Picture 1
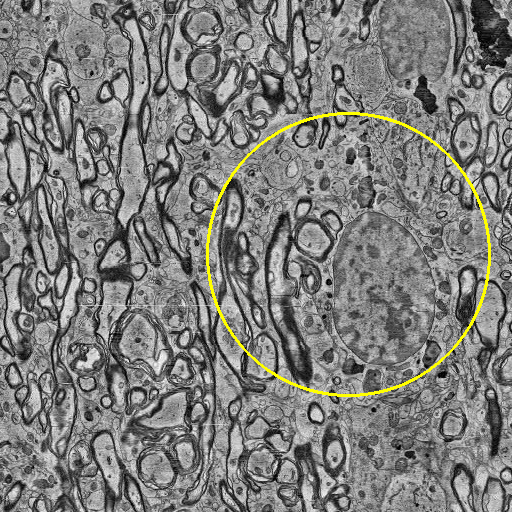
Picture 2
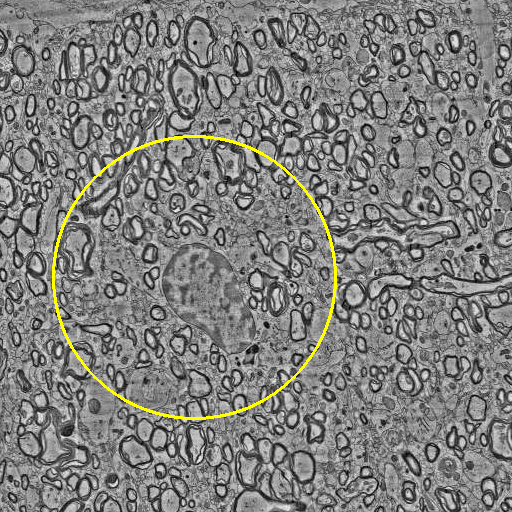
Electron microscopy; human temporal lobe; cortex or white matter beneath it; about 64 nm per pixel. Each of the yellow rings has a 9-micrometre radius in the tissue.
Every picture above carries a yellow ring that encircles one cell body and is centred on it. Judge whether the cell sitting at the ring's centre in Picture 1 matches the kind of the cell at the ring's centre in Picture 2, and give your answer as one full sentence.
Yes, the cells centred in the rings of Pictures 1 and 2 belong to one kind.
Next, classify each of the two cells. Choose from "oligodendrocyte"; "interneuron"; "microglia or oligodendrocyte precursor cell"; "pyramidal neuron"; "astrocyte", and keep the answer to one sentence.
Each of the ringed cells, first and second, is a microglial cell or oligodendrocyte precursor cell.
